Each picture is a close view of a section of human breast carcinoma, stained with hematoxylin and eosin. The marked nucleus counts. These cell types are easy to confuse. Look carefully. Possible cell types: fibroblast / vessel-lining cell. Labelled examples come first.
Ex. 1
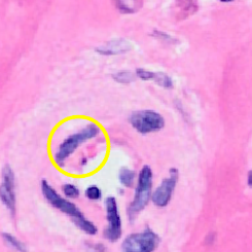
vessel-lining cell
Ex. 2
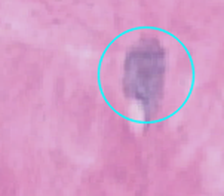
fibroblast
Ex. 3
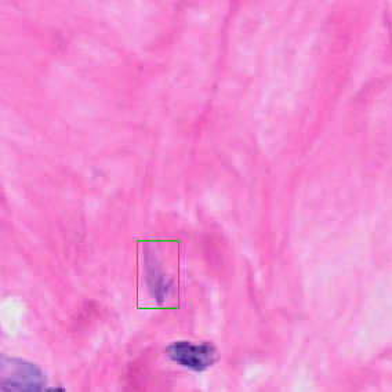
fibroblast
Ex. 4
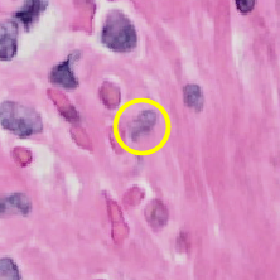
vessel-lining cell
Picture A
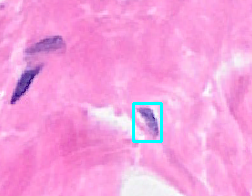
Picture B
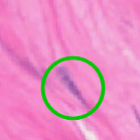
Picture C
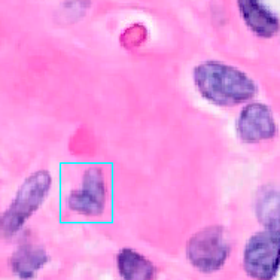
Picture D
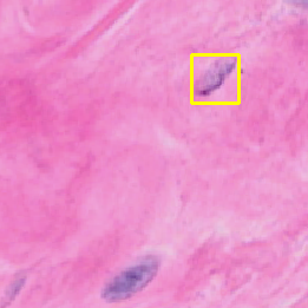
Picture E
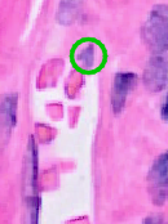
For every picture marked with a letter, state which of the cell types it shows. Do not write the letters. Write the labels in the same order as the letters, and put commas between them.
fibroblast, fibroblast, vessel-lining cell, fibroblast, vessel-lining cell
